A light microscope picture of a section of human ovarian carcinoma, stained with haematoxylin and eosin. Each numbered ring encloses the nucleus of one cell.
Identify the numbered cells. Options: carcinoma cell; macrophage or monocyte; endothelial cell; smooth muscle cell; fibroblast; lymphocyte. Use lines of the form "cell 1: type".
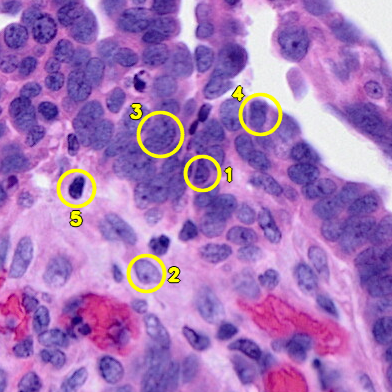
cell 1: carcinoma cell
cell 2: fibroblast
cell 3: carcinoma cell
cell 4: carcinoma cell
cell 5: lymphocyte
